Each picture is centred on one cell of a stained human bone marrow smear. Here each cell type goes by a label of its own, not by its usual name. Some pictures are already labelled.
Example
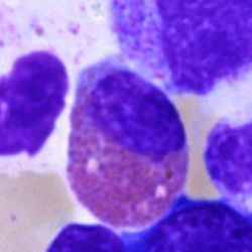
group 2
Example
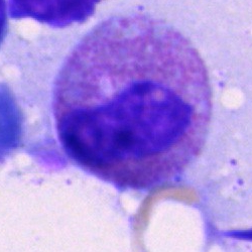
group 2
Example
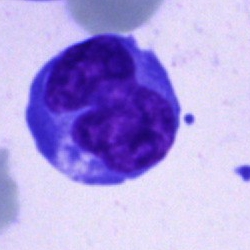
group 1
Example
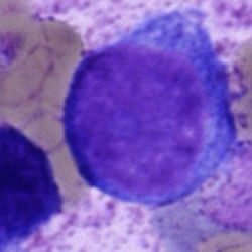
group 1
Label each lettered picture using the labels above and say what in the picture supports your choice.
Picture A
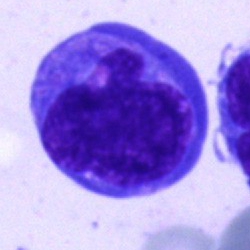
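Label: group 1. The nucleus fills most of the cell.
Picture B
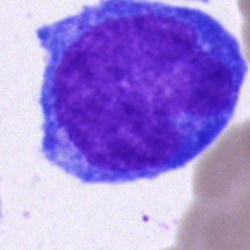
Label: group 1. The cytoplasm forms a narrow rim that is widest at the lower left.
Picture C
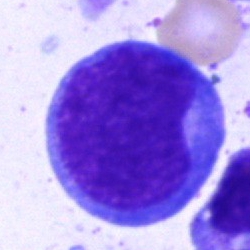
Label: group 1. The chromatin is finely granular rather than coarsely clumped.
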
